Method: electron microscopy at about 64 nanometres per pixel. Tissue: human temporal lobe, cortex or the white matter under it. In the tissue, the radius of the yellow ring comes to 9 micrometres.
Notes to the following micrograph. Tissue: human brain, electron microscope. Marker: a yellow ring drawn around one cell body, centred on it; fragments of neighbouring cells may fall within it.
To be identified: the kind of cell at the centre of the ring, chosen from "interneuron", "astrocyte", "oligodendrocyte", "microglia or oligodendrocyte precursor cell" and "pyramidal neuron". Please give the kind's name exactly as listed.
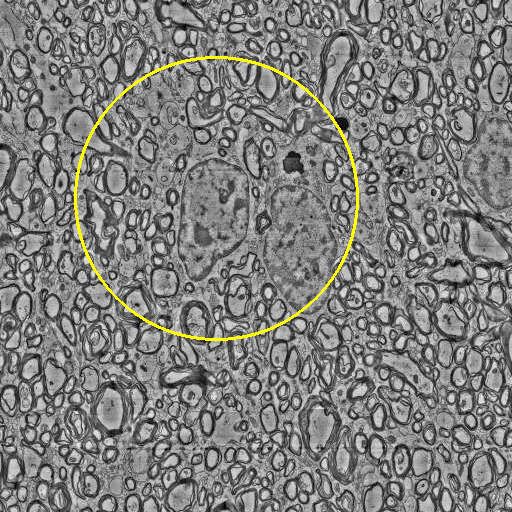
microglia or oligodendrocyte precursor cell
